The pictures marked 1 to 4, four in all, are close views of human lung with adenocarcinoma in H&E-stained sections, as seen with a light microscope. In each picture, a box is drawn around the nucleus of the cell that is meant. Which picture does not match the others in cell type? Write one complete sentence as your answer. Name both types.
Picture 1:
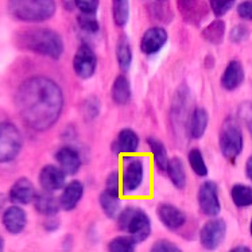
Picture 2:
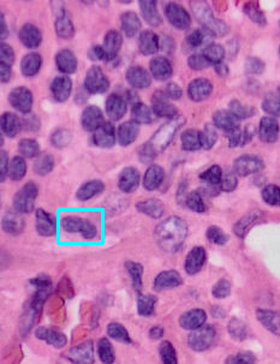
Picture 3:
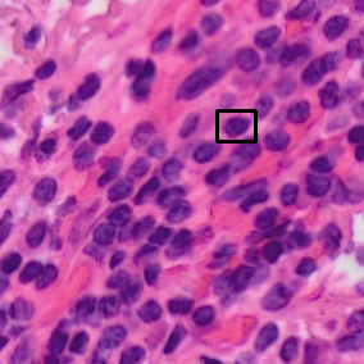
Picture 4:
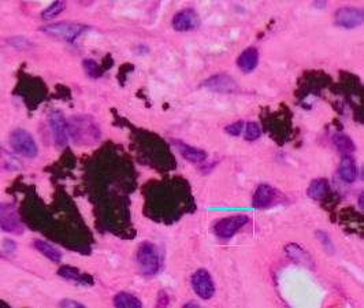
Picture 4 is the odd one out: it shows a plasma cell, while the others show lymphocytes.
